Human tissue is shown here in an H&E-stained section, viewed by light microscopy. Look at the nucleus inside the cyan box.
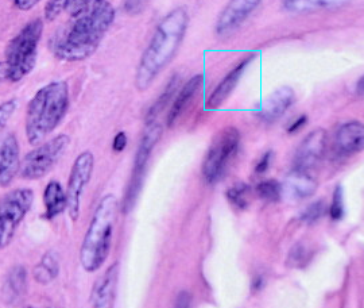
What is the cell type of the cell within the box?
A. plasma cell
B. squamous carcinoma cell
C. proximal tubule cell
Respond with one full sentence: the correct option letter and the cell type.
The item is answered by option B: the cell within the box is a squamous carcinoma cell.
